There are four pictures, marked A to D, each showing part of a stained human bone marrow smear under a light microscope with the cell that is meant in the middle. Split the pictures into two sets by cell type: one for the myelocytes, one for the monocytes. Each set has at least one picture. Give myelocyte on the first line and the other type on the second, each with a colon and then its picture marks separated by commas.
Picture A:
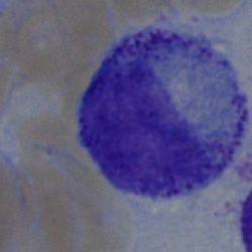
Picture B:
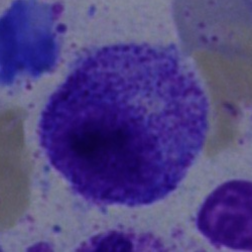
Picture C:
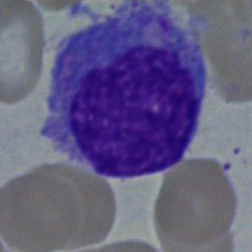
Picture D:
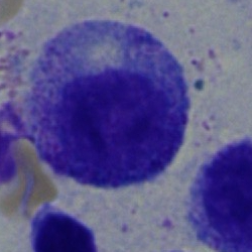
myelocyte: A, B, D
monocyte: C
